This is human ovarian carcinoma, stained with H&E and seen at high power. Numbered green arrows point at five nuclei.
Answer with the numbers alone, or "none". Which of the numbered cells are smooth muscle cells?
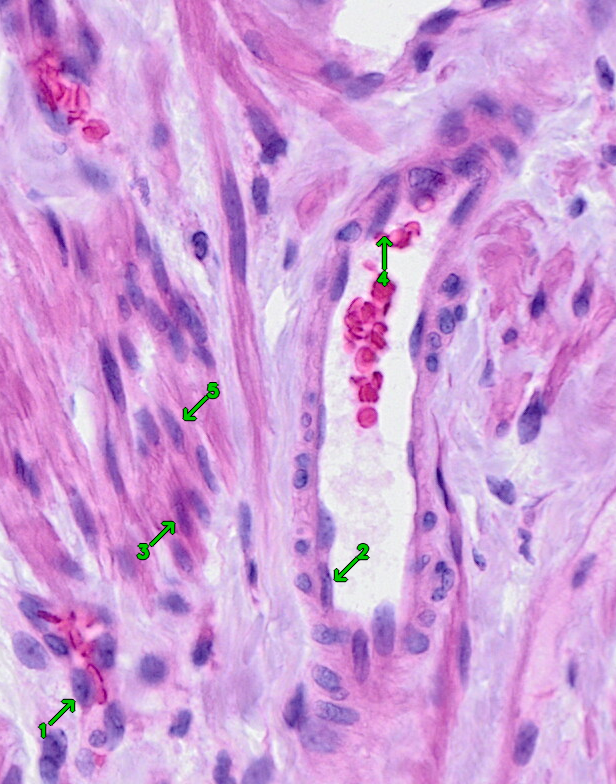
3, 5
